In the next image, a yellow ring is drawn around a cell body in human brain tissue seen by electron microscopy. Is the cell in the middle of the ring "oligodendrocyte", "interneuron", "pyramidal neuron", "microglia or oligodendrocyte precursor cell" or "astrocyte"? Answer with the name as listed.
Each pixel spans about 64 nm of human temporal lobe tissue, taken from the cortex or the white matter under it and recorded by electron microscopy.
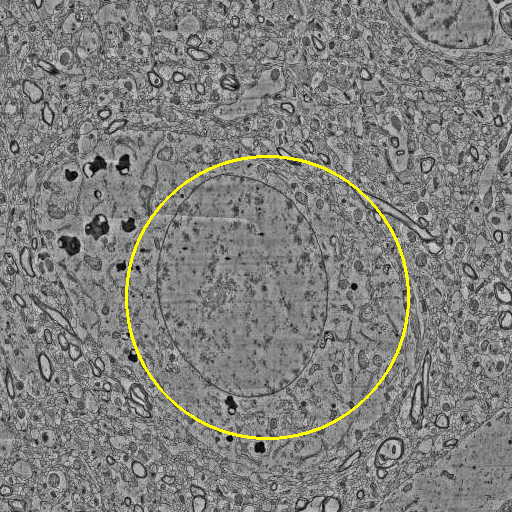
pyramidal neuron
